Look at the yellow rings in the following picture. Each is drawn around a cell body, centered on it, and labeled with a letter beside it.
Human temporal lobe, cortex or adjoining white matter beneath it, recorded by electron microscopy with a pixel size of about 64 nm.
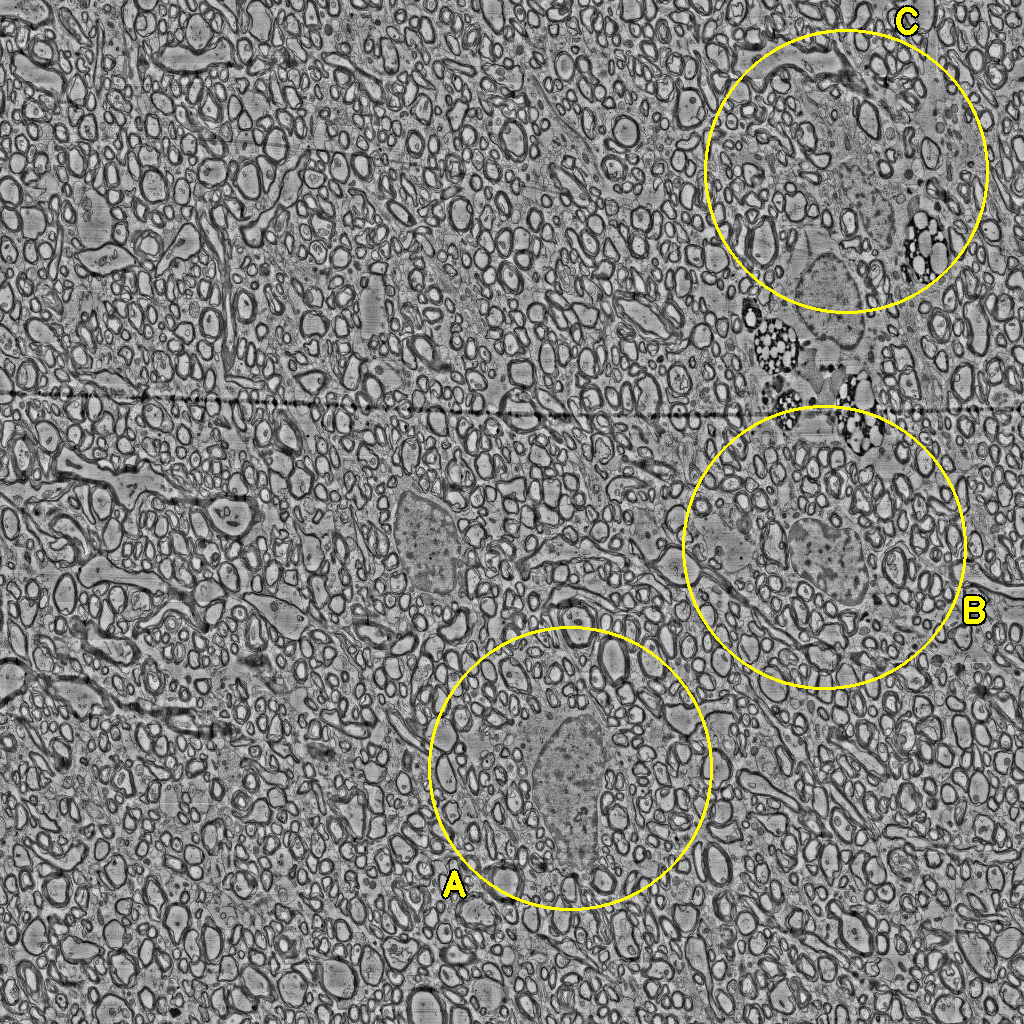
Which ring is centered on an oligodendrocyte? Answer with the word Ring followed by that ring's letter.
Ring A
